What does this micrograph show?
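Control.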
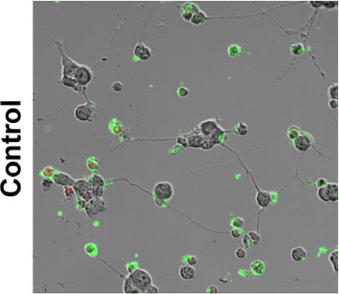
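These are isolated neurons in a dish, seen as grey, rounded cell bodies against a smooth grey background. Several of the cell bodies send out long, thin processes that run across the field and link cells to one another, and a few cells sit together in small clumps. Many cell bodies carry a rim or patches of green on their surface, while only a few show a small red spot inside.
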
